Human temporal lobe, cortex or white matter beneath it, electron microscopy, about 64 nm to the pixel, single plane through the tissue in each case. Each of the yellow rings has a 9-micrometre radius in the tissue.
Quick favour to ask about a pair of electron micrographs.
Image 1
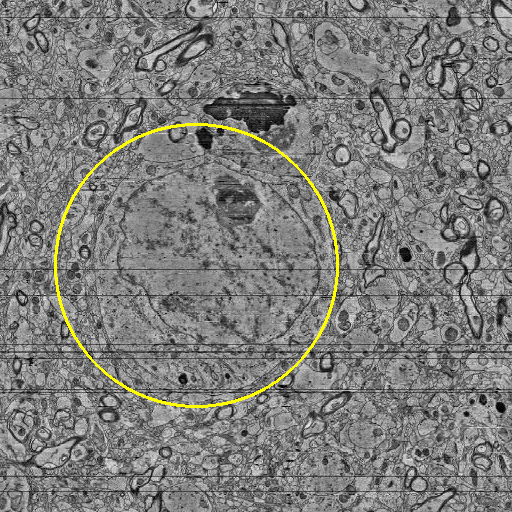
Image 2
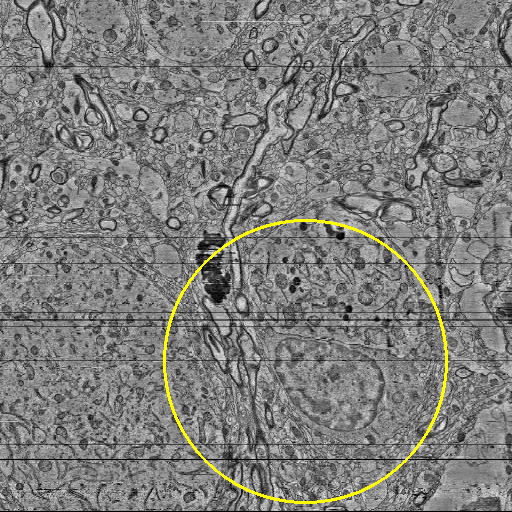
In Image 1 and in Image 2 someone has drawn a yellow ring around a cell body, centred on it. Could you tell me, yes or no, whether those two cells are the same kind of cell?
no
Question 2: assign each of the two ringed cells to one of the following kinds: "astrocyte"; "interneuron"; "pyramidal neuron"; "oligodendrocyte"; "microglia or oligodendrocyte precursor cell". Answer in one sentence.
The two cells are a pyramidal neuron in the first picture and an oligodendrocyte in the second.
